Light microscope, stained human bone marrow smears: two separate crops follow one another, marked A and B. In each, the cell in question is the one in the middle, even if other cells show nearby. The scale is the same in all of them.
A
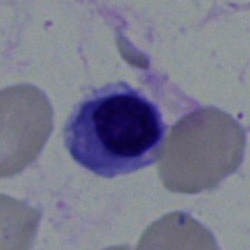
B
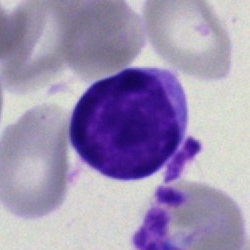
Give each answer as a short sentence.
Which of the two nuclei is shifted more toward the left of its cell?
Seen within its cell, the nucleus in crop B lies further toward the left.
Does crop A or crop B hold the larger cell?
Crop B holds the larger cell; it covers about 1.5 times the area of the cell in crop A.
